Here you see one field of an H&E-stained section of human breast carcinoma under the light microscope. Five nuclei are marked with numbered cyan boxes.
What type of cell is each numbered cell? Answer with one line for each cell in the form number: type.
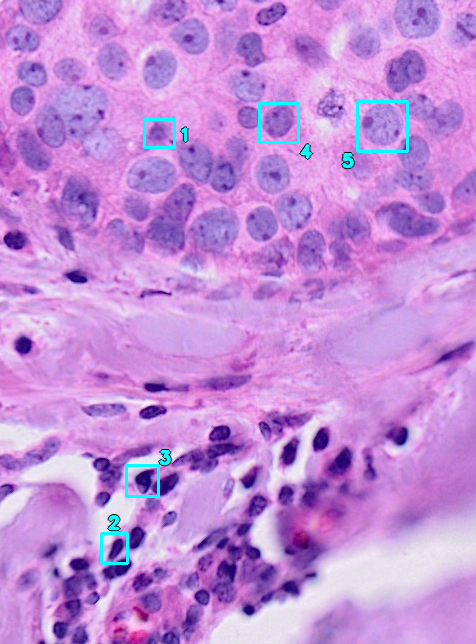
1: carcinoma cell
2: lymphocyte
3: lymphocyte
4: carcinoma cell
5: carcinoma cell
